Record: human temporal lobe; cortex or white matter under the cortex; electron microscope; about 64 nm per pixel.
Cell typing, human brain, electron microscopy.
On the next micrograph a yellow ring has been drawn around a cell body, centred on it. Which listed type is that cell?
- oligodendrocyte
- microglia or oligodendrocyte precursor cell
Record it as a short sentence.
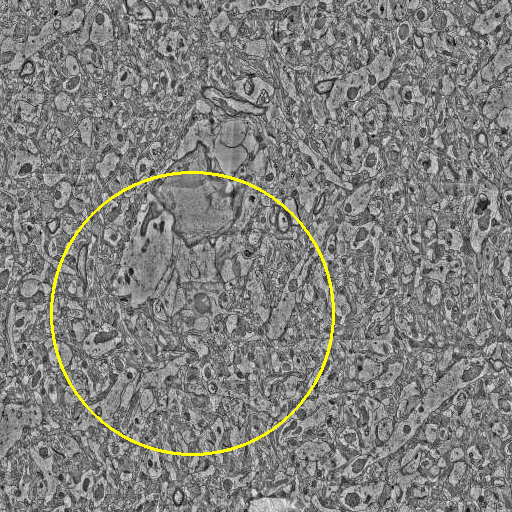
The cell body in the ring's centre belongs to a microglial cell or oligodendrocyte precursor cell.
